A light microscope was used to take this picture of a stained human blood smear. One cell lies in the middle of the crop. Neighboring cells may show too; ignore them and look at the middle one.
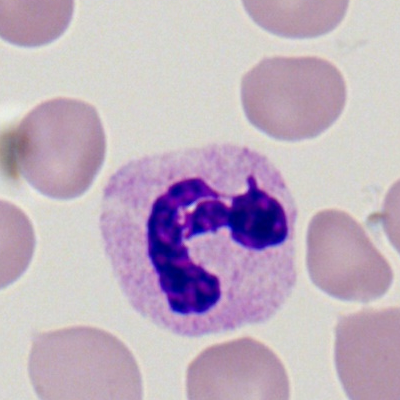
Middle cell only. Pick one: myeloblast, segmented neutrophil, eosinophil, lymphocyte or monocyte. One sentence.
The center cell of this crop is a segmented neutrophil.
